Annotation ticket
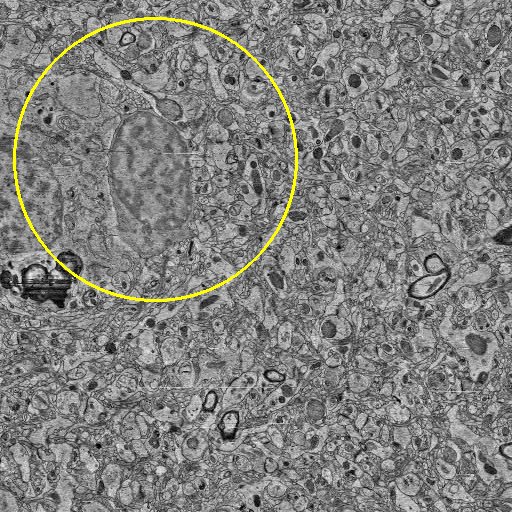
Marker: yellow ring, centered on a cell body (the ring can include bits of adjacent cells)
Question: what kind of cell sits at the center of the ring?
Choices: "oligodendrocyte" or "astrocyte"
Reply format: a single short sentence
The ring is centered on an oligodendrocyte.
